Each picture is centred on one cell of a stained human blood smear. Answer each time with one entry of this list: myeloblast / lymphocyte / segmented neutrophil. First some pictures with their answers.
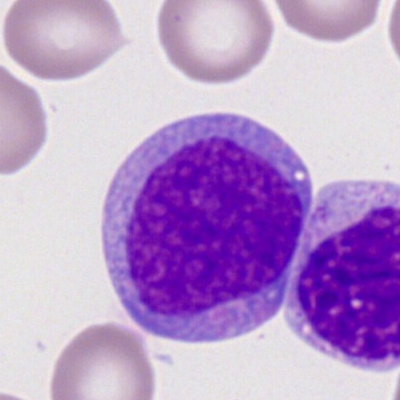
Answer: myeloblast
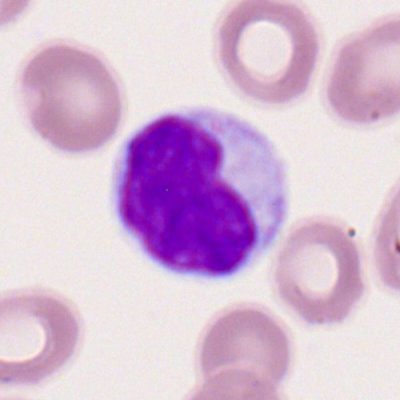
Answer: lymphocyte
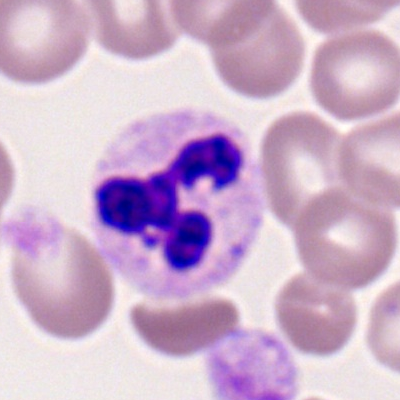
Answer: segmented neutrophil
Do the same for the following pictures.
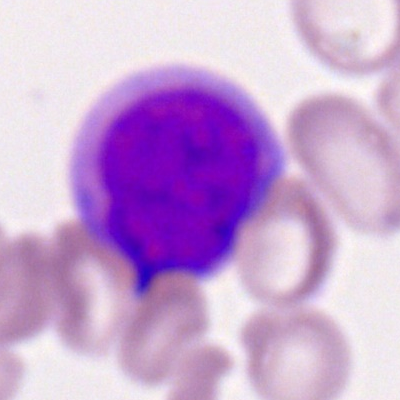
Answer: myeloblast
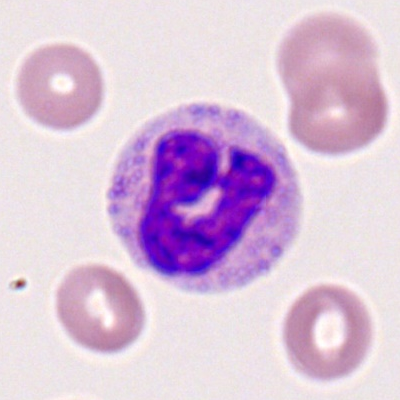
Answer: segmented neutrophil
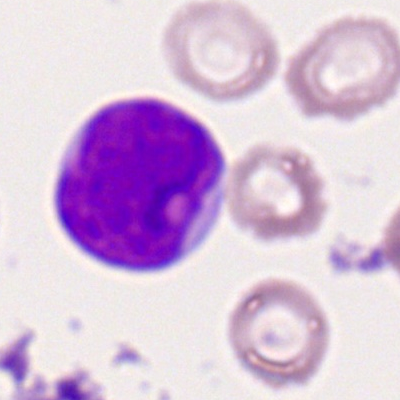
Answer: myeloblast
